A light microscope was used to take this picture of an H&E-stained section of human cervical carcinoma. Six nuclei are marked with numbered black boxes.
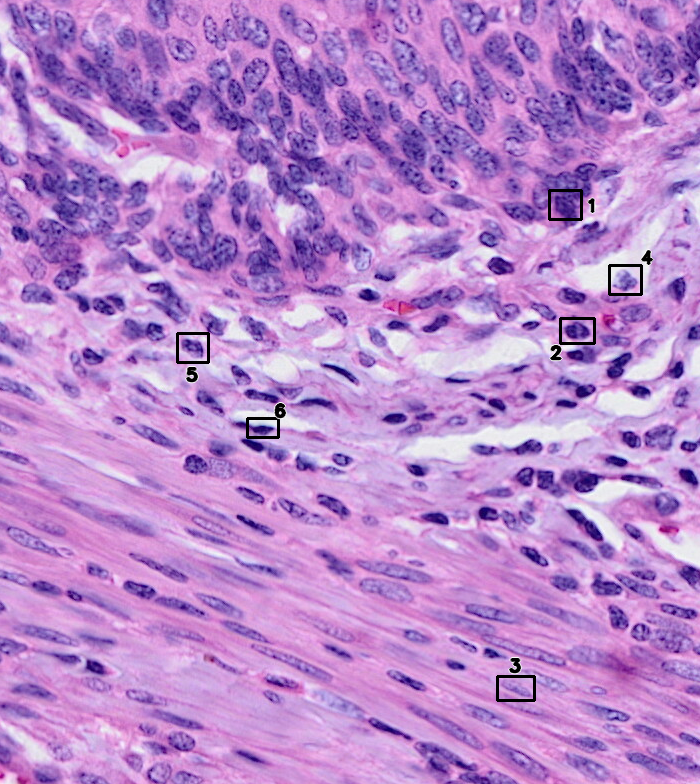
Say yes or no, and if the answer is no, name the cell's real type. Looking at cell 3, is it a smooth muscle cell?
Yes.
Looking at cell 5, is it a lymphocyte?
Yes.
